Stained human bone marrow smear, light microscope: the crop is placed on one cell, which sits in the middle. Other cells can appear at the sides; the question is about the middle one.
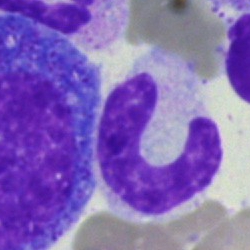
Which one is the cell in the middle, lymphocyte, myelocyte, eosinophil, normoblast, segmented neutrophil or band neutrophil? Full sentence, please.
Answering briefly, the cell in the middle is a band neutrophil.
